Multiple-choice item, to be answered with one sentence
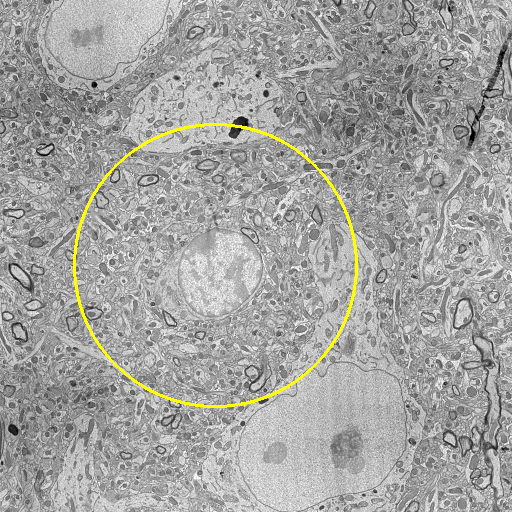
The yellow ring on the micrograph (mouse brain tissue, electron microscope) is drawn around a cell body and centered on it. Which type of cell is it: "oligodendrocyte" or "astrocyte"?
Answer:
The ring is centered on an oligodendrocyte.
